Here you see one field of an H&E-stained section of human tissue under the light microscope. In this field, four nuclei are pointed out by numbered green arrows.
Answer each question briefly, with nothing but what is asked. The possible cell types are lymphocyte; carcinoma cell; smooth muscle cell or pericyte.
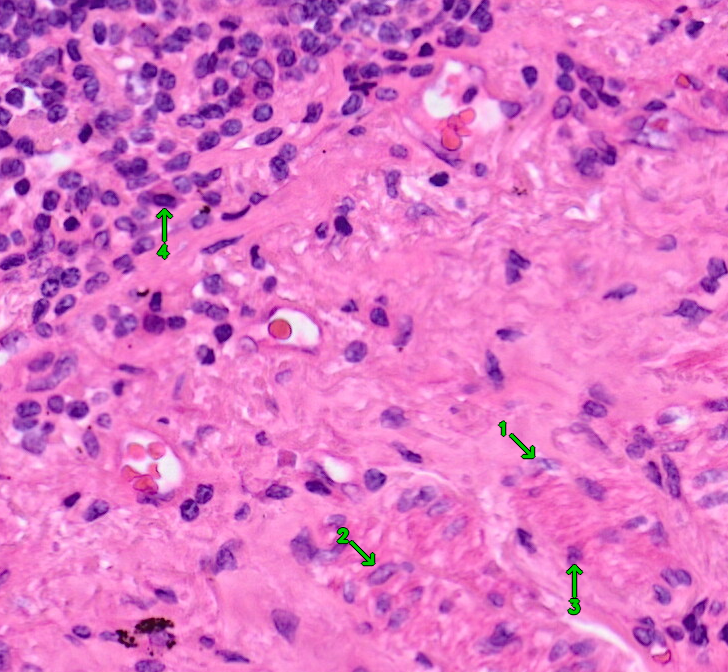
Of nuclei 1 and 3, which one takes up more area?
1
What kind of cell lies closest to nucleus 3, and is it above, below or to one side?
a smooth muscle cell or pericyte, above and to the right of nucleus 3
